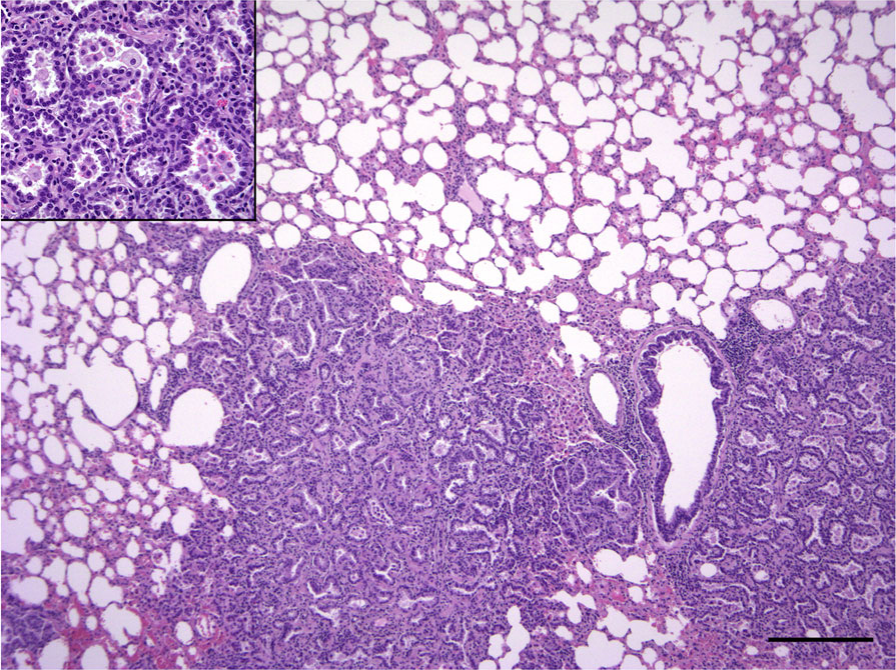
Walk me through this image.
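Lung tissue is partly replaced by a dense, purple-staining epithelial neoplasm with an acinar growth pattern, while the upper part of the image keeps open, air-filled alveoli with thin septa. The neoplasm forms many small, closely packed gland-like spaces separated by thin pink strands of fibrous stroma. Its border with the surrounding alveolar tissue is fairly sharp in places and irregular in others, with tumour extending between alveoli. A bronchiole lined by columnar epithelium and several open vessels lie within and beside the mass. At higher magnification the gland spaces are lined by a single layer of cuboidal cells with round dark nuclei, and loose clusters of larger cells with abundant pale pink cytoplasm, macrophages, lie within the lumina.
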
